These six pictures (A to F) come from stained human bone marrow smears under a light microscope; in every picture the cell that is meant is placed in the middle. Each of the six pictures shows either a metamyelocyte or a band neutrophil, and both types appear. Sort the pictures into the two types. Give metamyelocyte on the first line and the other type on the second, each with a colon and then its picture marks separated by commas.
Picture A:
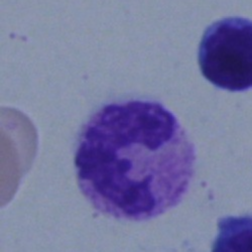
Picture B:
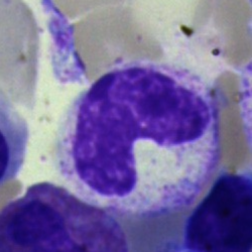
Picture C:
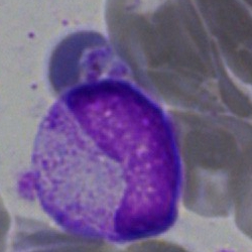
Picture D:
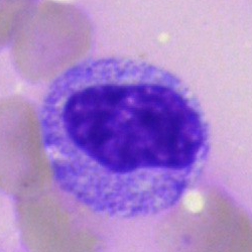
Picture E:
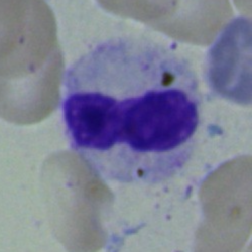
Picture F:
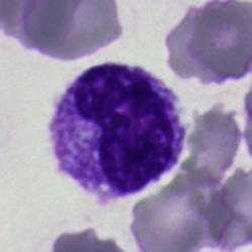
metamyelocyte: C, D, F
band neutrophil: A, B, E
